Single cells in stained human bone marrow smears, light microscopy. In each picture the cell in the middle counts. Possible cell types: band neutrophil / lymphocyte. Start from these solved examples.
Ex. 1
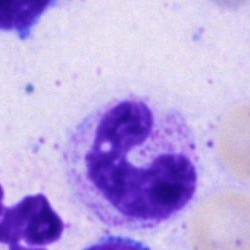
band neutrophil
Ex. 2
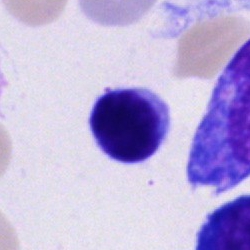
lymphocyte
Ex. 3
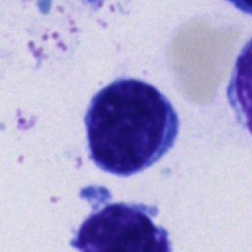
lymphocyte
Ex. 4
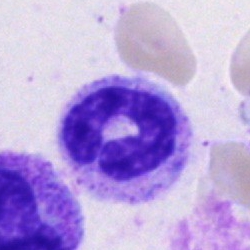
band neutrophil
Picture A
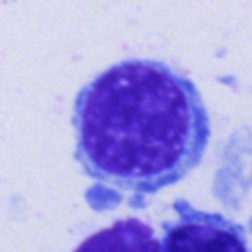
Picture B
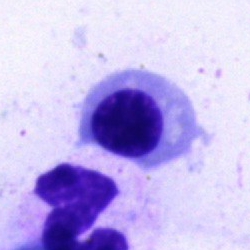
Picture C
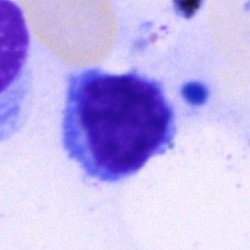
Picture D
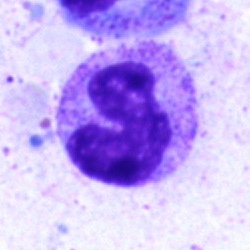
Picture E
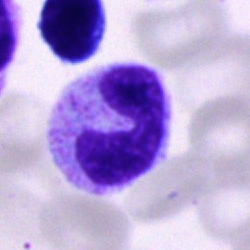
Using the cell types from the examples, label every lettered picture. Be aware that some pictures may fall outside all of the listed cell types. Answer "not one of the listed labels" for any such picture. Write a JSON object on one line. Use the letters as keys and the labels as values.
{"A": "lymphocyte", "B": "not one of the listed labels", "C": "lymphocyte", "D": "band neutrophil", "E": "band neutrophil"}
